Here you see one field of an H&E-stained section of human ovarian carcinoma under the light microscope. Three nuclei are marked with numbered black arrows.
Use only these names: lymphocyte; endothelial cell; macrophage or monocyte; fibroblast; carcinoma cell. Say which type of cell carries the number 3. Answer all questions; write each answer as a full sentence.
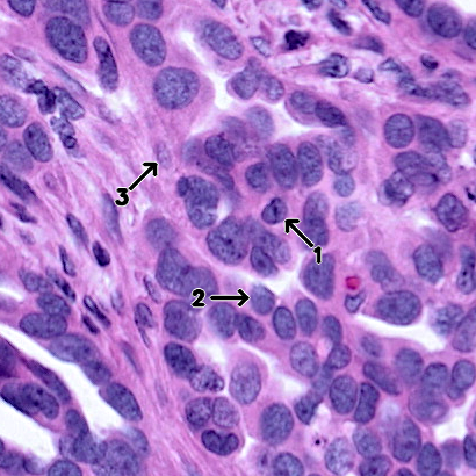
Cell 3 is classified as a fibroblast.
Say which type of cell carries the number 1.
Identified by the number 1, the cell is a macrophage or monocyte.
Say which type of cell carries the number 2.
Numbered cell 2 is a carcinoma cell in this tissue section.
